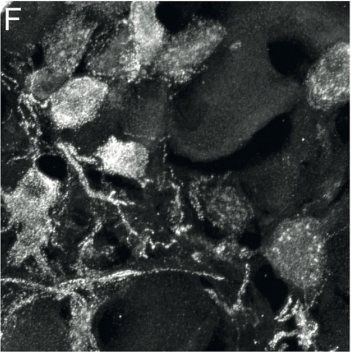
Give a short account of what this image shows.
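Thin beaded bright fibres wind between and around the cell bodies, some forming tangled networks across the lower part of the field. The labelled cell bodies lie mostly in the upper and left part of the field, intermingled with unlabelled ones.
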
